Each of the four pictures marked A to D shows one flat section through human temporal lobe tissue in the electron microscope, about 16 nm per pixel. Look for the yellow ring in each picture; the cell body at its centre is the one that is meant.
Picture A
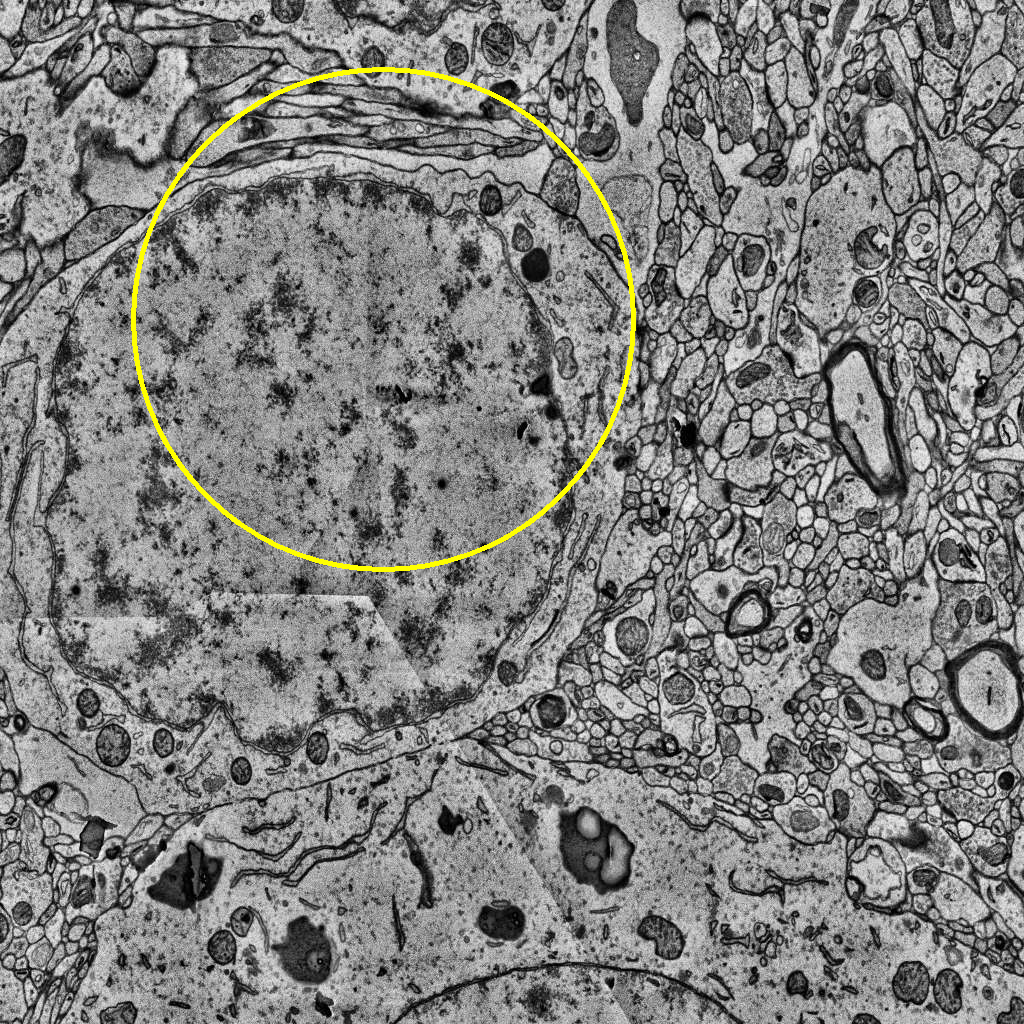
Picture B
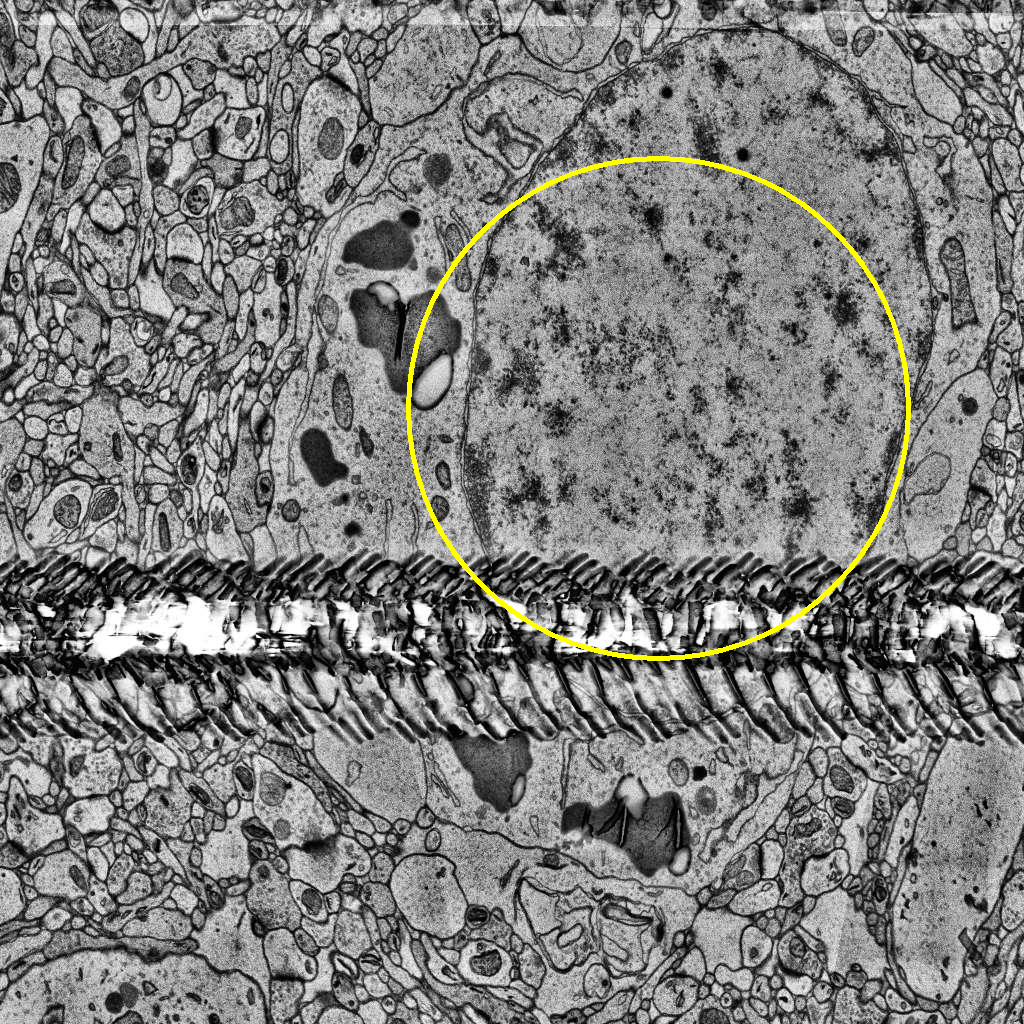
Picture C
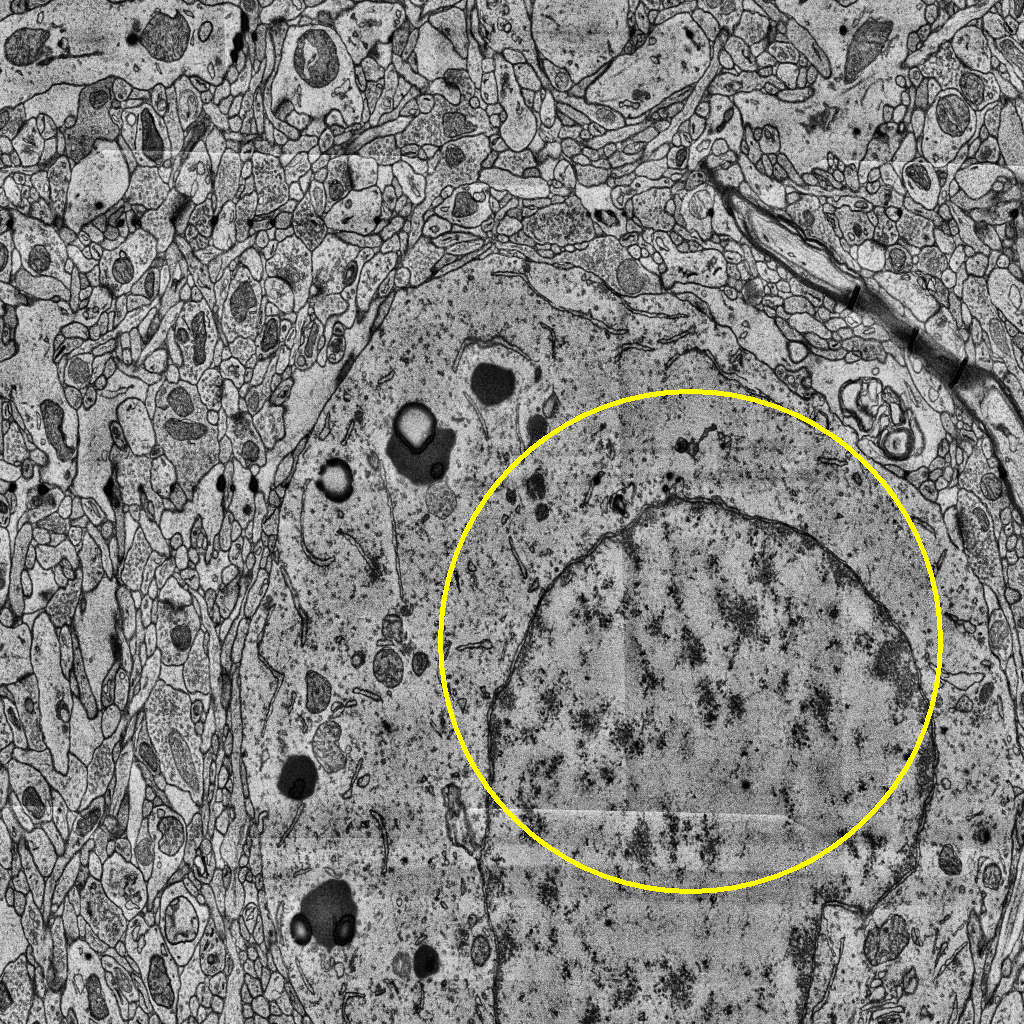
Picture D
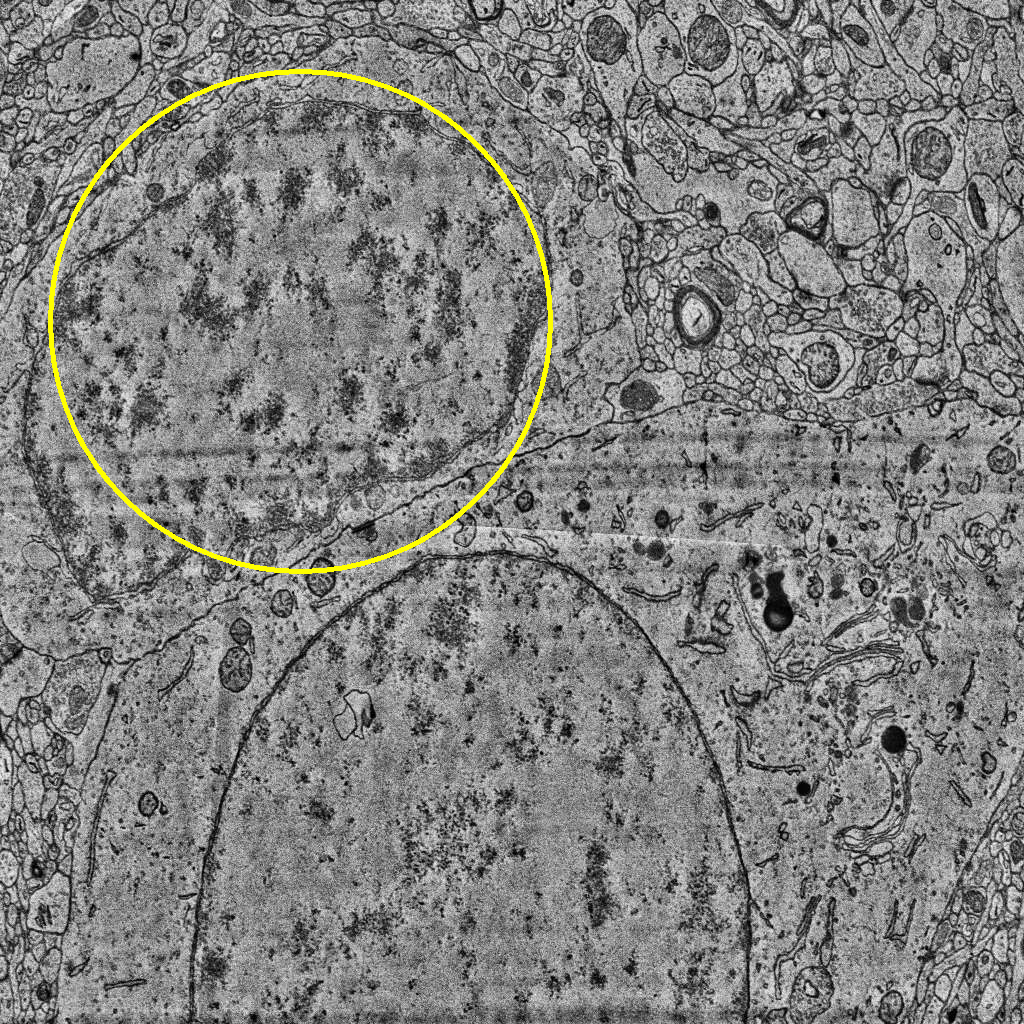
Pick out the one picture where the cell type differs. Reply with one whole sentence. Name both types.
Unlike the rest, which show interneurons, picture C shows a pyramidal neuron.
